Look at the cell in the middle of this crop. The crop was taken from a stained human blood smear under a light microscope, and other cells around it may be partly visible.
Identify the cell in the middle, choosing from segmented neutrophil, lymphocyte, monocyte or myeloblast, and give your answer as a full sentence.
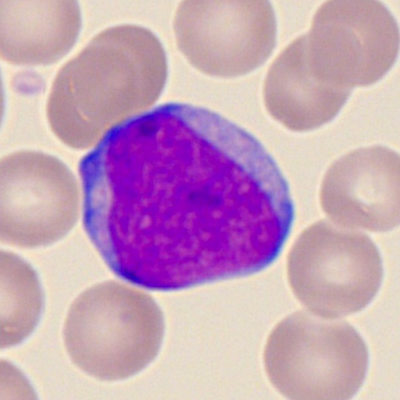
This crop has a myeloblast at its centre.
